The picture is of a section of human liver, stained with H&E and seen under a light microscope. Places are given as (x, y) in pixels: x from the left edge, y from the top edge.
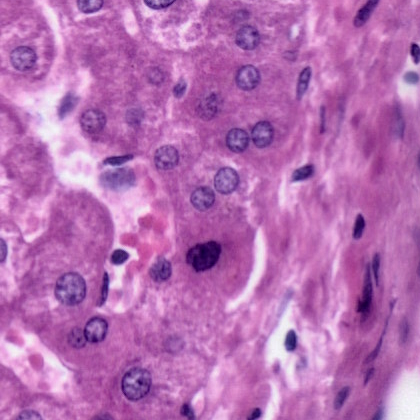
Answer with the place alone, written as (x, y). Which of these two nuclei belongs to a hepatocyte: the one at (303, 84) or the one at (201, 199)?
(201, 199)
